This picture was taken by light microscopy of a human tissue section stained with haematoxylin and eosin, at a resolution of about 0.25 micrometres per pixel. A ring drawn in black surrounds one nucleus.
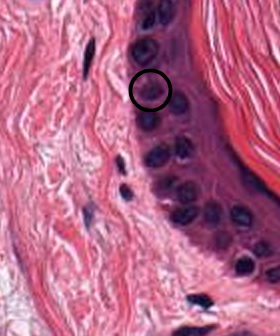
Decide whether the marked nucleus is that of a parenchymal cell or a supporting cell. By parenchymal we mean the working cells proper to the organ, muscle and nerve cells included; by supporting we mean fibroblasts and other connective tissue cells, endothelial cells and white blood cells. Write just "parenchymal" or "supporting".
parenchymal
